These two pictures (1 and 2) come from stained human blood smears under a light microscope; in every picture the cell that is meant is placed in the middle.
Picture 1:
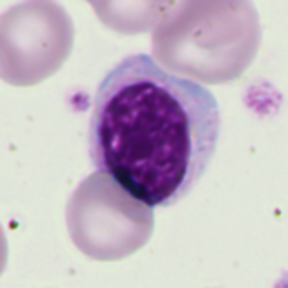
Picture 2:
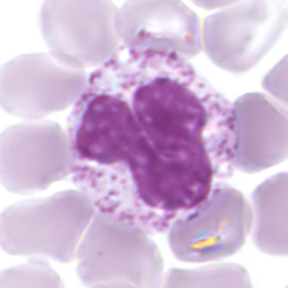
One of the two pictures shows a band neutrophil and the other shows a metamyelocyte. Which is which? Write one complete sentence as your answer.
The cell in picture 1 is a metamyelocyte, and the one in picture 2 is a band neutrophil.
